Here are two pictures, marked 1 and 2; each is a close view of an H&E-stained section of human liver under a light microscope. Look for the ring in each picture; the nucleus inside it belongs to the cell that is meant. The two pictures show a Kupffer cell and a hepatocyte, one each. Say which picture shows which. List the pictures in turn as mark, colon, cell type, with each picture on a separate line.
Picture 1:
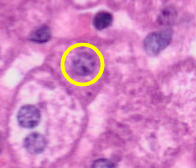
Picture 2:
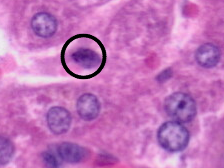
1: hepatocyte
2: Kupffer cell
